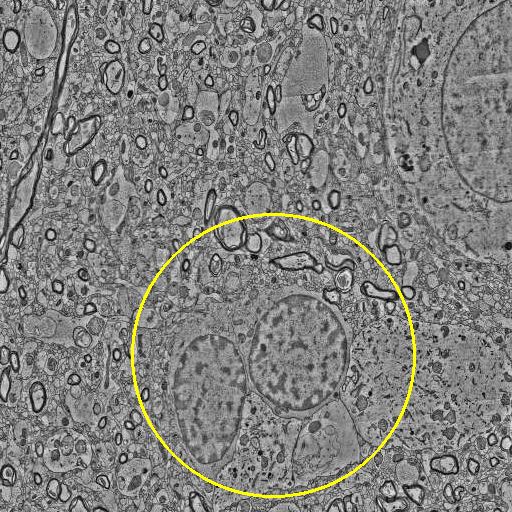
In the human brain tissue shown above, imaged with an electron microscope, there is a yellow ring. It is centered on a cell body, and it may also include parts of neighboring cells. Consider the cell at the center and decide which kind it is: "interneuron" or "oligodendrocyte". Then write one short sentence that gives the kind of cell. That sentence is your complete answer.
This centered cell body is that of an oligodendrocyte.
